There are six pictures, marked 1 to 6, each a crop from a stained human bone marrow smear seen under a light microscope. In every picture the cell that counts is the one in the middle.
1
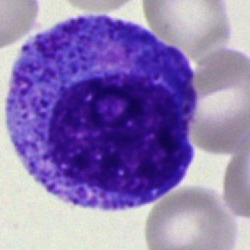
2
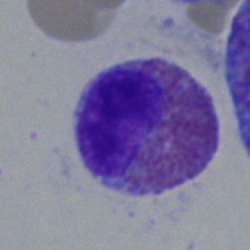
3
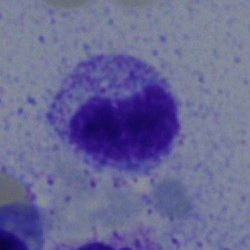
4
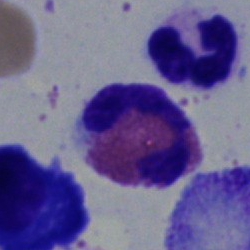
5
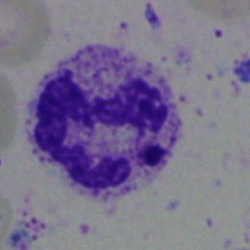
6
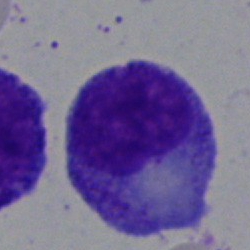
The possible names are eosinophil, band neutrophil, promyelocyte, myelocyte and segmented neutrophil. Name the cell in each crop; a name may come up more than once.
1: promyelocyte
2: eosinophil
3: myelocyte
4: eosinophil
5: segmented neutrophil
6: promyelocyte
